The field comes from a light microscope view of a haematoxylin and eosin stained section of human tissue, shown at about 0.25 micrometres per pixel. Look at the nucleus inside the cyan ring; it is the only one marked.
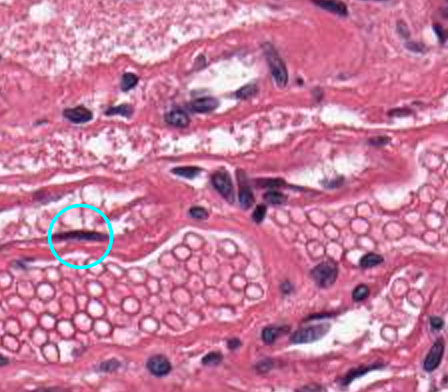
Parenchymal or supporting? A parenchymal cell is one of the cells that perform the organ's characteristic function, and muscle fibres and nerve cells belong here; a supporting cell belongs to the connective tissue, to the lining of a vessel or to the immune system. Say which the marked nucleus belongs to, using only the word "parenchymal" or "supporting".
supporting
